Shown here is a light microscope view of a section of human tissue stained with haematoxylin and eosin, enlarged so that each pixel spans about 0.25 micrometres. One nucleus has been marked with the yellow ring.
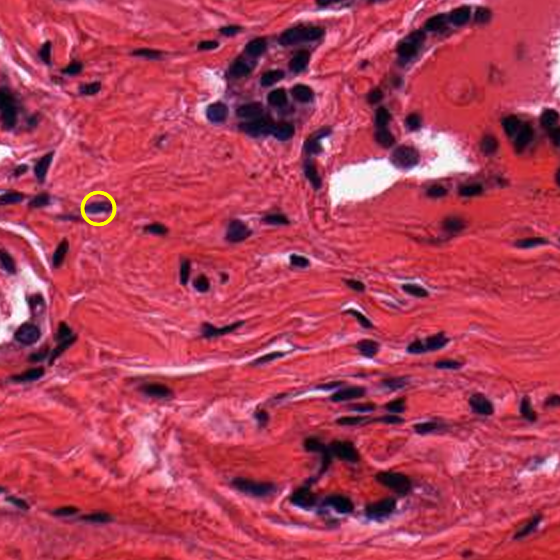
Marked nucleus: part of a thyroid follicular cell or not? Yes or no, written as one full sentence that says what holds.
No, the marked nucleus does not form part of a thyroid follicular cell, being part of a supporting cell.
